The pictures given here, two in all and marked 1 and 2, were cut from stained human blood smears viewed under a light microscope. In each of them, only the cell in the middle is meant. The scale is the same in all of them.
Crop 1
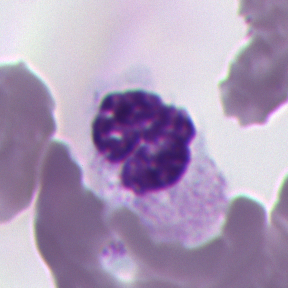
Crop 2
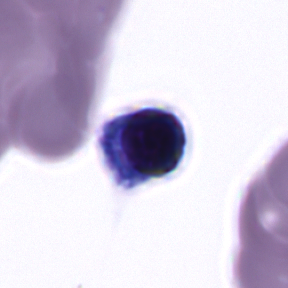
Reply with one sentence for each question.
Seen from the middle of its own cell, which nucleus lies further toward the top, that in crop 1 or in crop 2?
In crop 1 the nucleus is shifted more toward the top.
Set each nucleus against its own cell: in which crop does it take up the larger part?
Of the two, the nucleus in crop 2 makes up the greater part of its cell.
